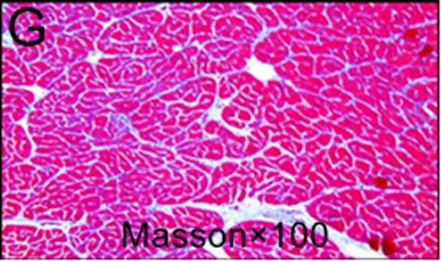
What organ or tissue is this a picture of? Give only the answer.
Normal myocardium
